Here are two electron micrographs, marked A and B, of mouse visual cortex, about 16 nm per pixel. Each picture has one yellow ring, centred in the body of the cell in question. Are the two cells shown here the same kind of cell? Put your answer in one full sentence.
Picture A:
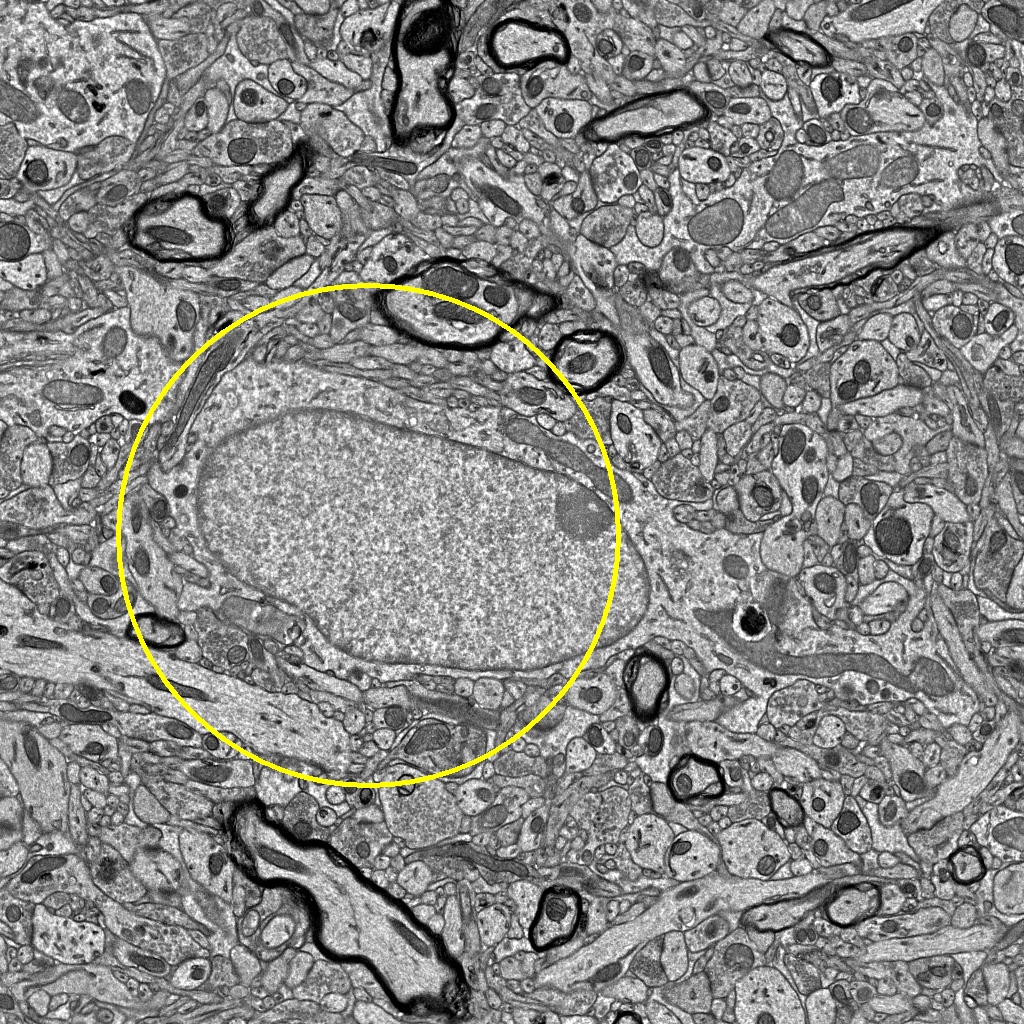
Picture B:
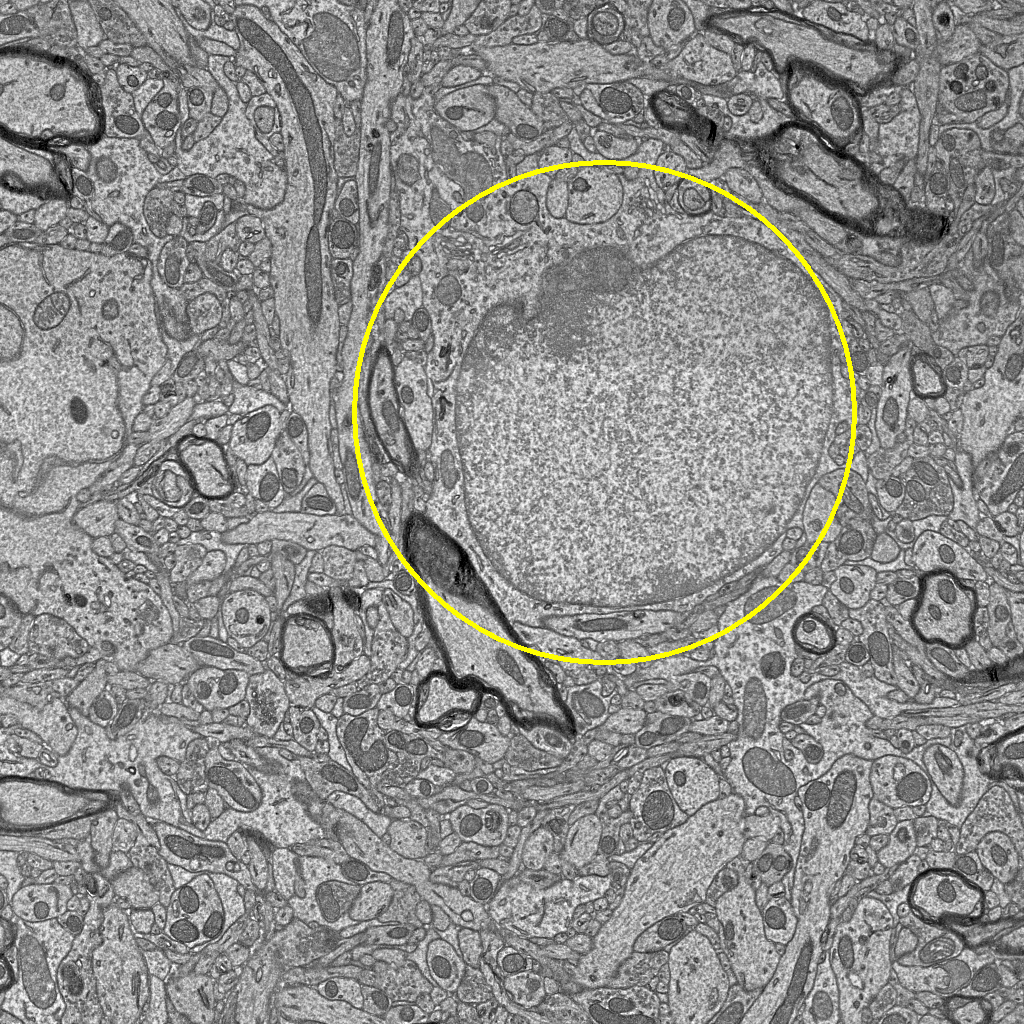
Yes, both are astrocytes.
